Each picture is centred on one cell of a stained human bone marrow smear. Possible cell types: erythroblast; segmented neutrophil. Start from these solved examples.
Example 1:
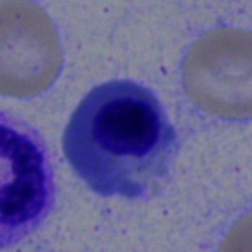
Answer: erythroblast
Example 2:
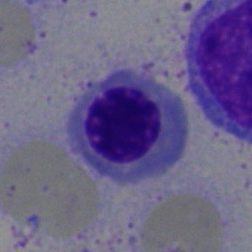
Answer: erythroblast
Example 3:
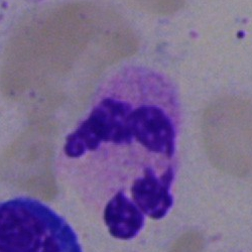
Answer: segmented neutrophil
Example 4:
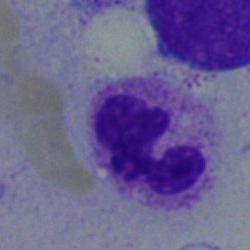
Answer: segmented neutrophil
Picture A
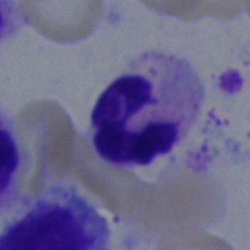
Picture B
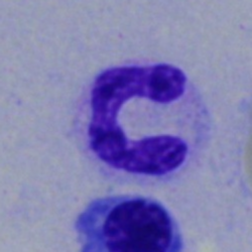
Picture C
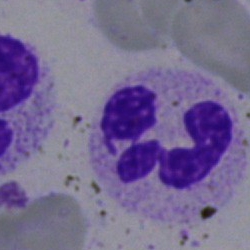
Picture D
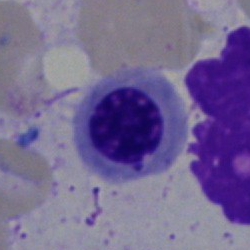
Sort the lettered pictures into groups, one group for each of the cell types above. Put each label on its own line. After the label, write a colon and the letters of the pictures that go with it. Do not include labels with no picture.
erythroblast: D
segmented neutrophil: A, B, C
